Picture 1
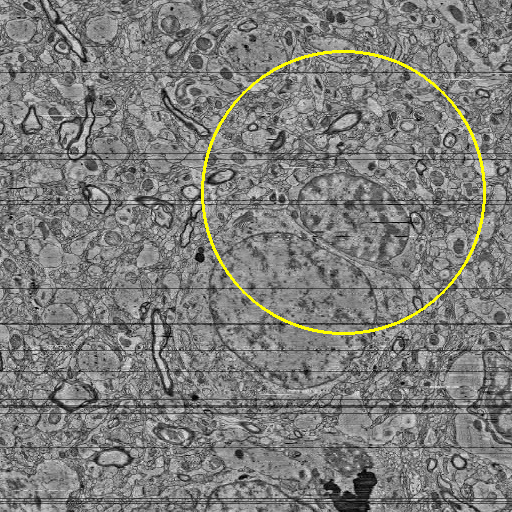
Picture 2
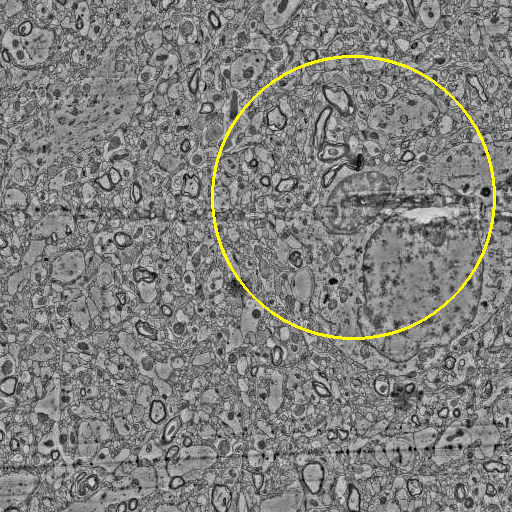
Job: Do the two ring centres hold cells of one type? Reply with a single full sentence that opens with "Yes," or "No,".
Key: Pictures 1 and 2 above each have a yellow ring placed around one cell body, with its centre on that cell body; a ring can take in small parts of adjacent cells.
Yes, the cells at the two ring centres are of one single type.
